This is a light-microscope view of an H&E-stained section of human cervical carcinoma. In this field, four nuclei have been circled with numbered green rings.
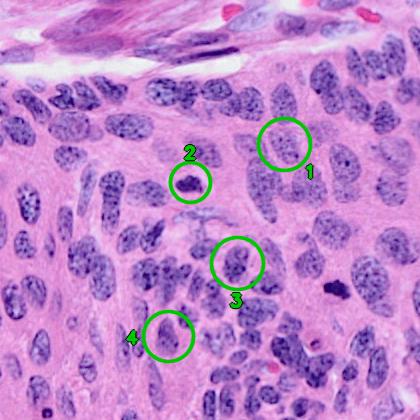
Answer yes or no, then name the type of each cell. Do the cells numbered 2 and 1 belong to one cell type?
No, sorry to say, cell 2 is a lymphocyte and cell 1 is a squamous carcinoma cell.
